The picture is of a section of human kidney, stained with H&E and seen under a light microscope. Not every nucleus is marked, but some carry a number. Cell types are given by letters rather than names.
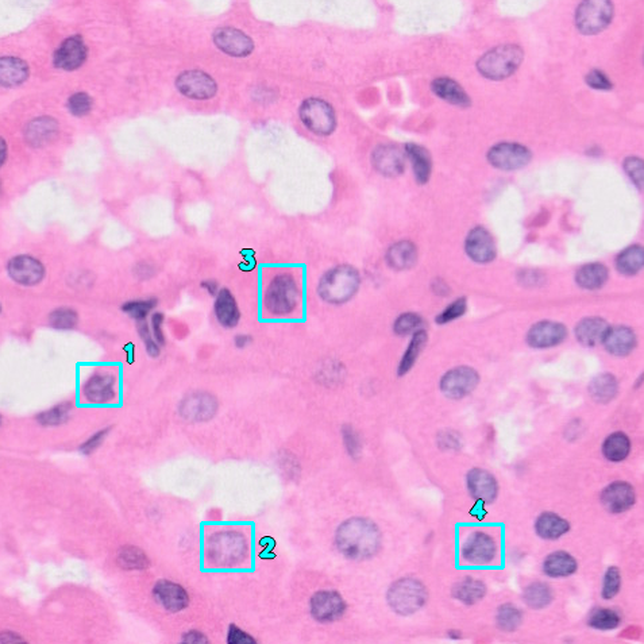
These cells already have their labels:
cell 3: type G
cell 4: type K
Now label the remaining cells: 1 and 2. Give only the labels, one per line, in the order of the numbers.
type K
type G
